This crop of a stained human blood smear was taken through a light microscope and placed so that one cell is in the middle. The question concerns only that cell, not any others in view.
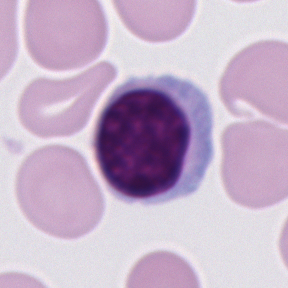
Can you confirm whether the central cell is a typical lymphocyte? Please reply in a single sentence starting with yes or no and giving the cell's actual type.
Yes, the central cell here is a typical lymphocyte.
